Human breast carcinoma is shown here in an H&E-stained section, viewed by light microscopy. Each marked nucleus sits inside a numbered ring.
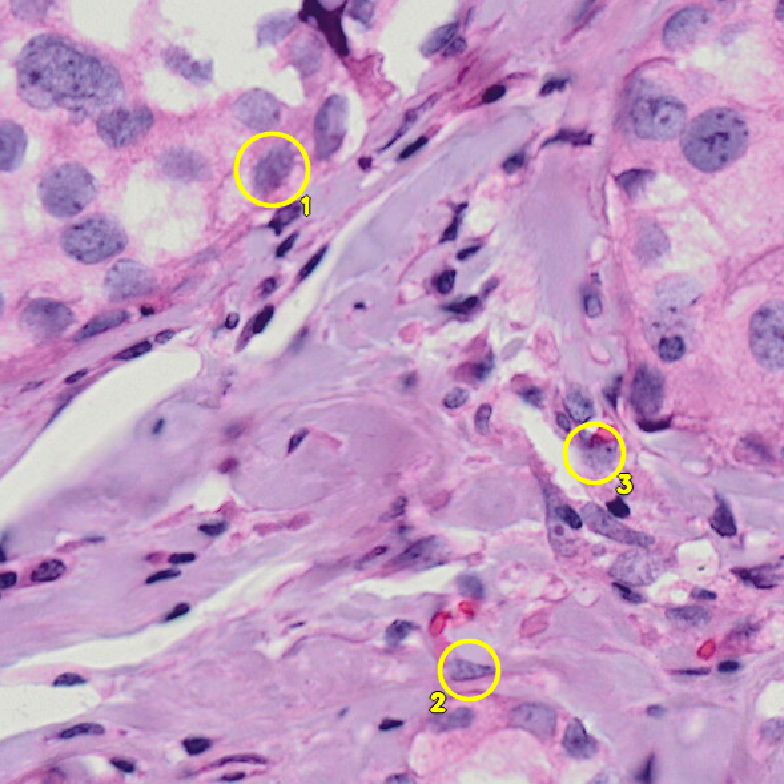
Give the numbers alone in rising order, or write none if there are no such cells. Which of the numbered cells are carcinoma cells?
1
